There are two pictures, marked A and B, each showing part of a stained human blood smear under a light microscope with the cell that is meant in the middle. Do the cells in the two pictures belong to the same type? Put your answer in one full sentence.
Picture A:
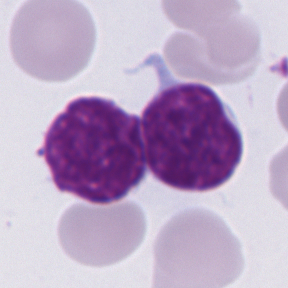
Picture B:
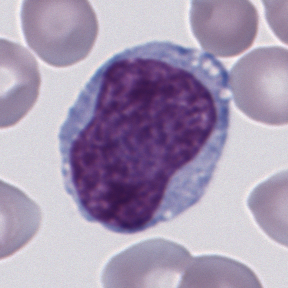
Yes, both are myeloblasts.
